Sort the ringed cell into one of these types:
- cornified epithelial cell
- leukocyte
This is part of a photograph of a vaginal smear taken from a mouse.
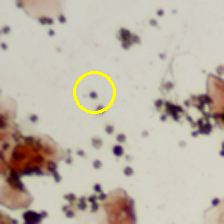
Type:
leukocyte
